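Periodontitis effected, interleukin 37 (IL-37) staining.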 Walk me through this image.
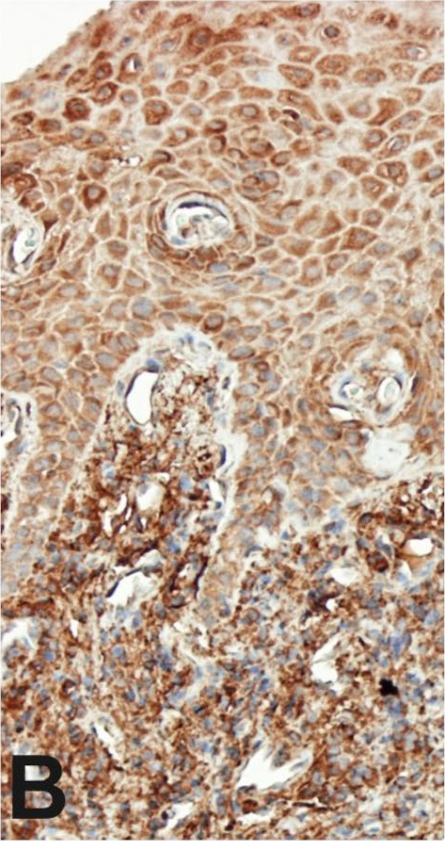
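This is gingival tissue with a stratified squamous epithelium above and a densely cellular connective tissue below. The epithelial cells are large and polygonal, with brown cytoplasm and pale nuclei, and in places they form concentric whorls of flattened cells. Beneath and between the epithelial extensions, the connective tissue is crowded with small, round cells. Coarse, granular brown stain is scattered among these cells. Small vessel spaces open within this cellular tissue.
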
